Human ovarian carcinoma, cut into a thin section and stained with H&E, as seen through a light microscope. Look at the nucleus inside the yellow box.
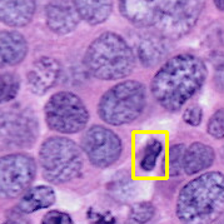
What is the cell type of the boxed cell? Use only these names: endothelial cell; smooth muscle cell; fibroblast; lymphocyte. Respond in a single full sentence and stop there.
In the tissue at hand, the boxed cell is a lymphocyte.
